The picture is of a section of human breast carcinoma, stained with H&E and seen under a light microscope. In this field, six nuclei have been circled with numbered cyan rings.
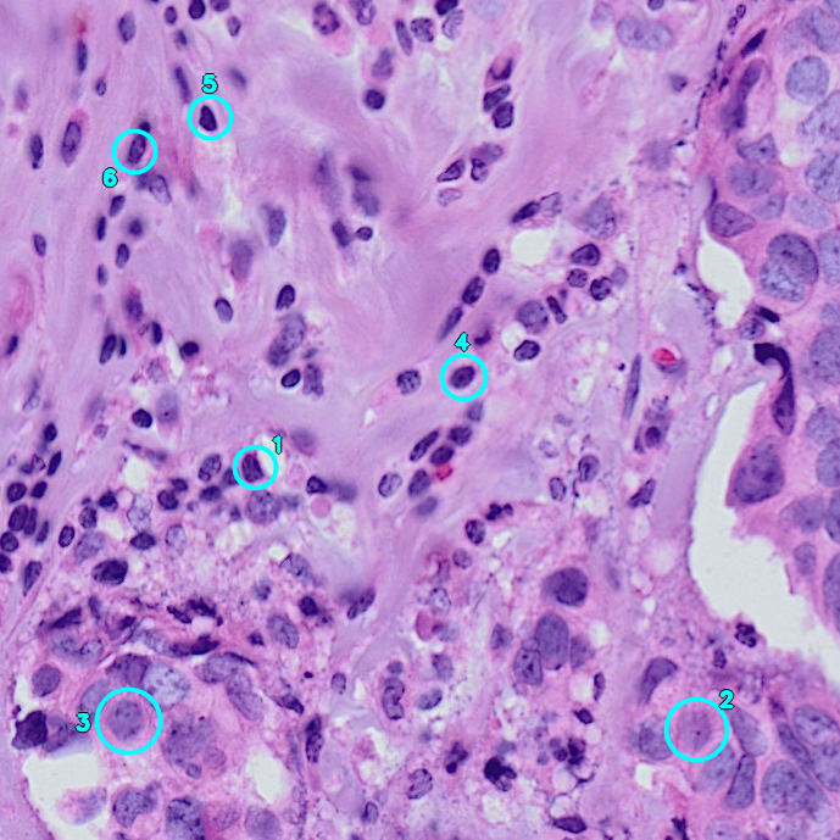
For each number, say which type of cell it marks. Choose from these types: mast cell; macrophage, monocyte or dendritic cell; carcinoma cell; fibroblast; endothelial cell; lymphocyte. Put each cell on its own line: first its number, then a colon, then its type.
1: lymphocyte
2: carcinoma cell
3: carcinoma cell
4: lymphocyte
5: lymphocyte
6: lymphocyte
